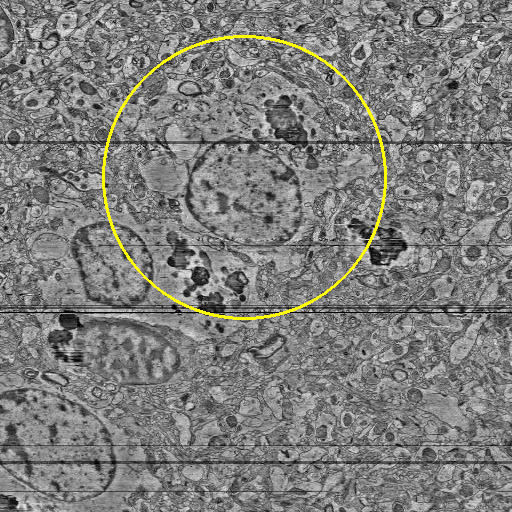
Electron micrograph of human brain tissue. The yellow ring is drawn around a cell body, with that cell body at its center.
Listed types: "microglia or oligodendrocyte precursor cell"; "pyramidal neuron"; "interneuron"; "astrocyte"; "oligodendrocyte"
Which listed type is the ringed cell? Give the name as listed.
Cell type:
astrocyte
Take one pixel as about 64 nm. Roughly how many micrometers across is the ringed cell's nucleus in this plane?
Approximately 8 x 7 micrometres in this plane.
